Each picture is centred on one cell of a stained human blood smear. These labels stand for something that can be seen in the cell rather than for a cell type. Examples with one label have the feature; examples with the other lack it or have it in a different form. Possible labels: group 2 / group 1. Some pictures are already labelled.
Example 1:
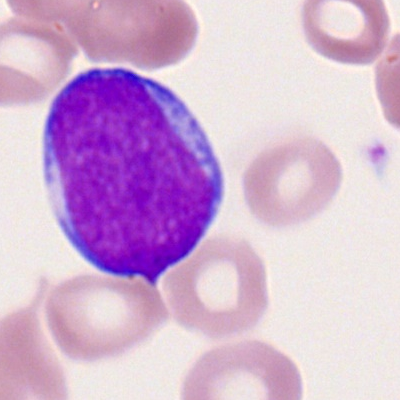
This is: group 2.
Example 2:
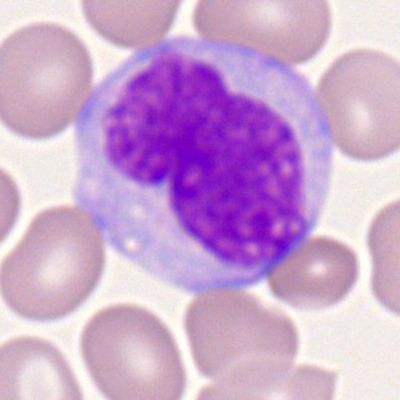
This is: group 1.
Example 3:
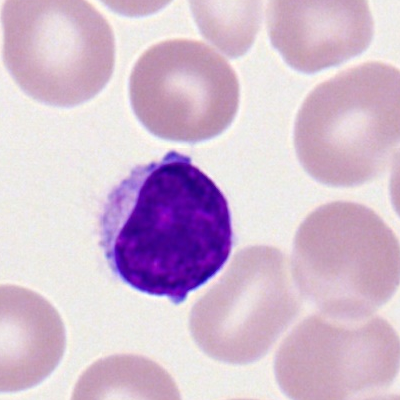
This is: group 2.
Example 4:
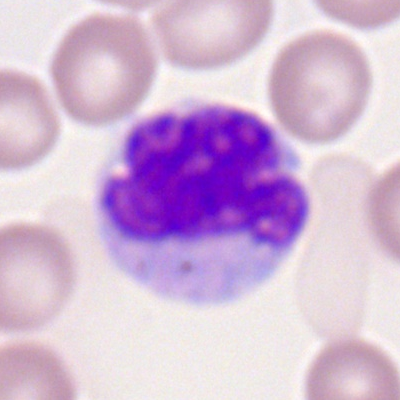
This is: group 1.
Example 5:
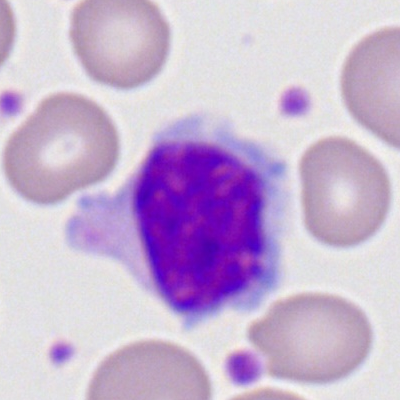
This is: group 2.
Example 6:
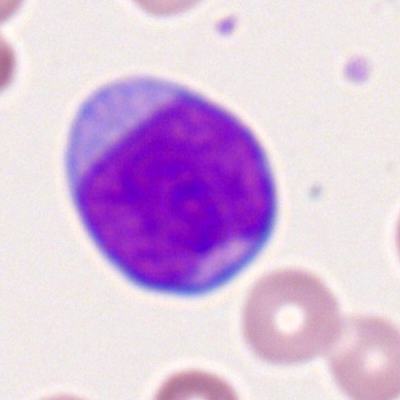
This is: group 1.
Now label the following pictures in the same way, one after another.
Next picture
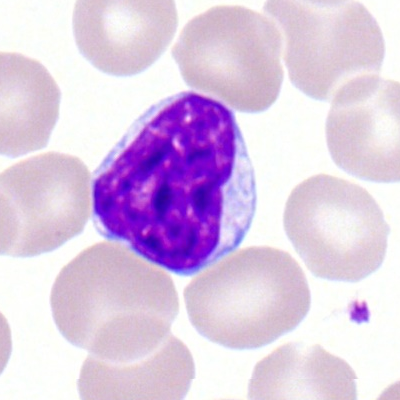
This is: group 1.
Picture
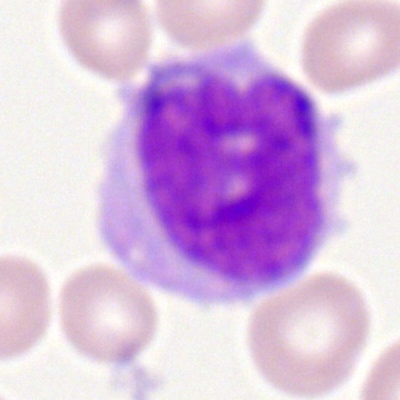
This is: group 2.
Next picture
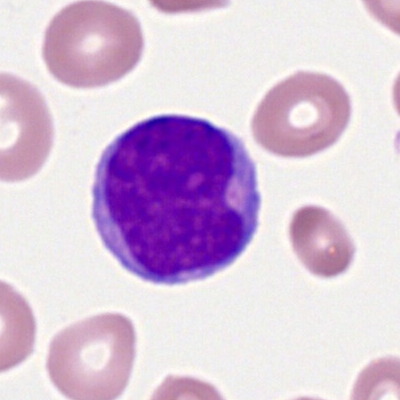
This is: group 1.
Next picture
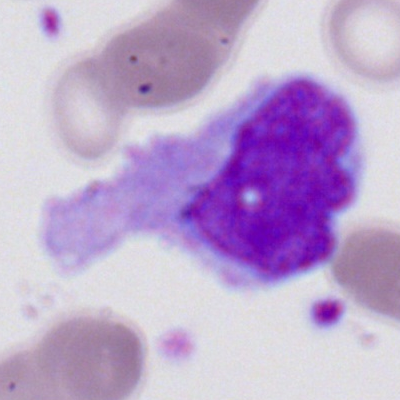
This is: group 2.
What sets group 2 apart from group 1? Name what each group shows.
In group 2: ragged outline or projections. In group 1: smooth outline.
